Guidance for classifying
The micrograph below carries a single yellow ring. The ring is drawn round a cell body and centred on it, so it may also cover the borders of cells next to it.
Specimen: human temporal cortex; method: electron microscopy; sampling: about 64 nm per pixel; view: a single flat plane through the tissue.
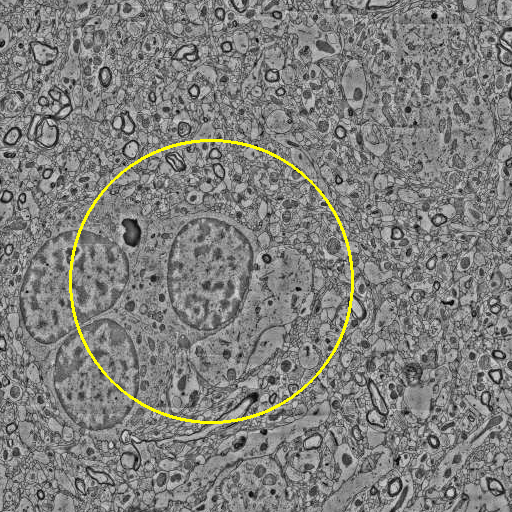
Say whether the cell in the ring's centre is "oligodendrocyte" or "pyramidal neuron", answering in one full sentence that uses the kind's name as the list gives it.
Within the yellow ring, an oligodendrocyte is the cell whose body sits at the centre.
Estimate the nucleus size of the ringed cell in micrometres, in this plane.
About 7 by 6 micrometres in this plane.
